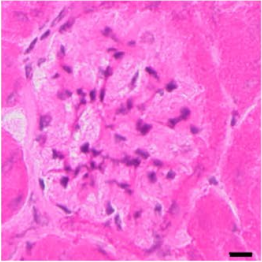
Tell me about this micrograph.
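This is a renal glomerulus in hematoxylin and eosin stained kidney cortex. A rounded tuft of pale pink capillary loops occupies most of the field, with many small, dark purple nuclei scattered through it. The nuclei are oval to irregular and lie along the loops and in the central stalk regions of the tuft. Around the tuft lie cross-sections of tubules with more intensely pink, eosinophilic cytoplasm.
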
